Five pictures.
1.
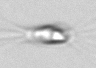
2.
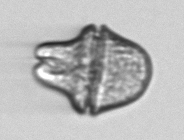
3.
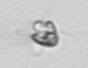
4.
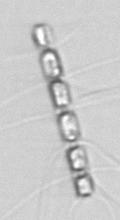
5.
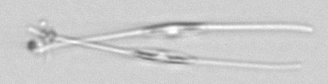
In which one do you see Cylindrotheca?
In picture 5.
